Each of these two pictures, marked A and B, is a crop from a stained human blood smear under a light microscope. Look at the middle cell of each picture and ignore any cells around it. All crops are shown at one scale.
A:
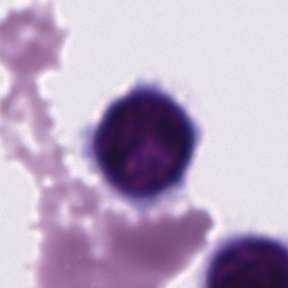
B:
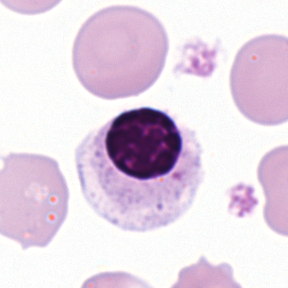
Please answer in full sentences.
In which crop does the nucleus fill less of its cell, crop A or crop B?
Of the two, the nucleus in crop B leaves more room for cytoplasm.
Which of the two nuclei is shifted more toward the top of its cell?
In crop B the nucleus is shifted more toward the top.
